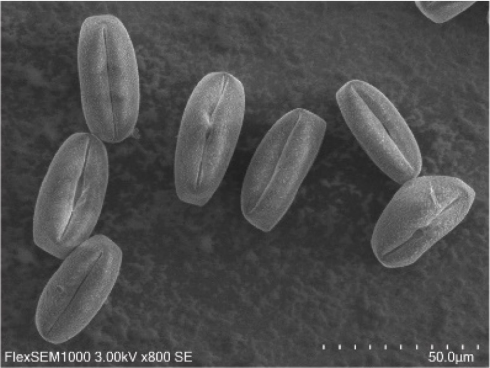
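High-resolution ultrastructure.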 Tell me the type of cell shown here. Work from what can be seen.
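Several separate elongated grains of similar size. Each grain has a longitudinal furrow along its length. So: pollen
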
